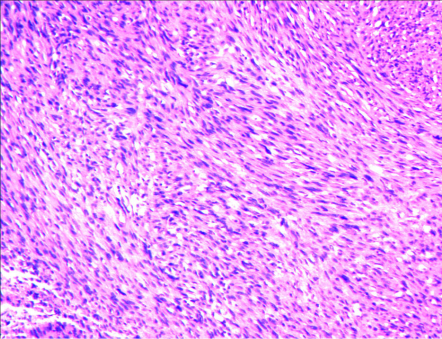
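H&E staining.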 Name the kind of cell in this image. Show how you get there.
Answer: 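Elongated spindle cells. Cells have long, slender, tapering nuclei. Cells are arranged in bundles running in different directions. Cytoplasm is pink.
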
